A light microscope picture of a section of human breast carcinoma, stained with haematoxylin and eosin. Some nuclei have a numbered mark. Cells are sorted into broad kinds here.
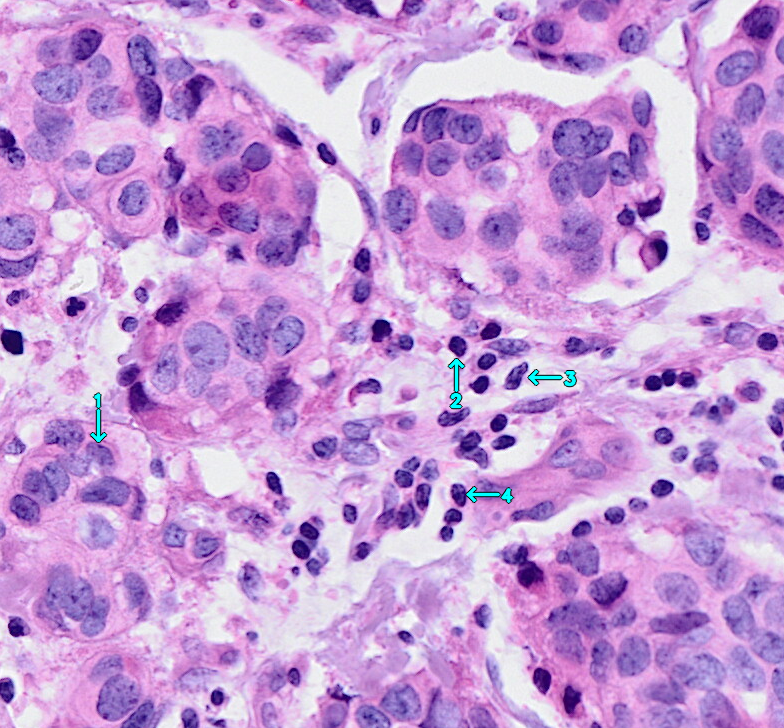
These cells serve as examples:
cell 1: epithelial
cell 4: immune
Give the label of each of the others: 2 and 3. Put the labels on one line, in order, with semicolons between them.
immune; immune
